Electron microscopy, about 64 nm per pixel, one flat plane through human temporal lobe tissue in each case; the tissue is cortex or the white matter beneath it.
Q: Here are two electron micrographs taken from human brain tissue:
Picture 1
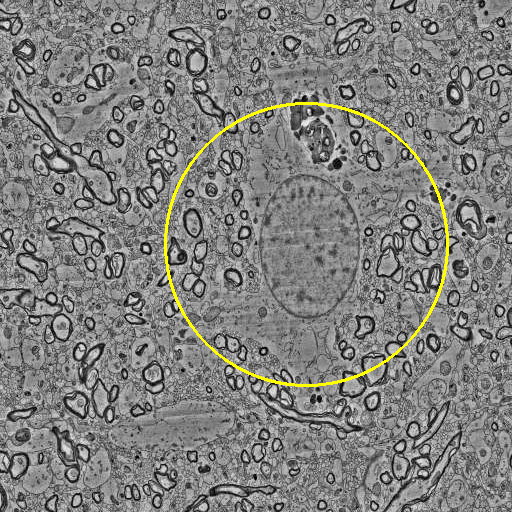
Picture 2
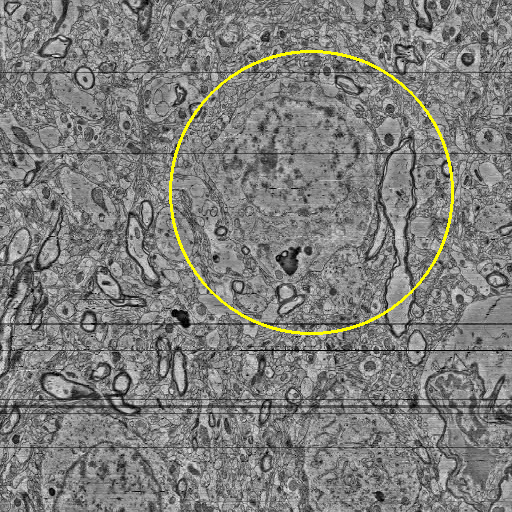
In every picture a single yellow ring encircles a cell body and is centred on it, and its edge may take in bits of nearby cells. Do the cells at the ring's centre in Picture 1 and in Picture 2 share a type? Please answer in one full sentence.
No, the cells at the ring's centre in Picture 1 and Picture 2 are of two types.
